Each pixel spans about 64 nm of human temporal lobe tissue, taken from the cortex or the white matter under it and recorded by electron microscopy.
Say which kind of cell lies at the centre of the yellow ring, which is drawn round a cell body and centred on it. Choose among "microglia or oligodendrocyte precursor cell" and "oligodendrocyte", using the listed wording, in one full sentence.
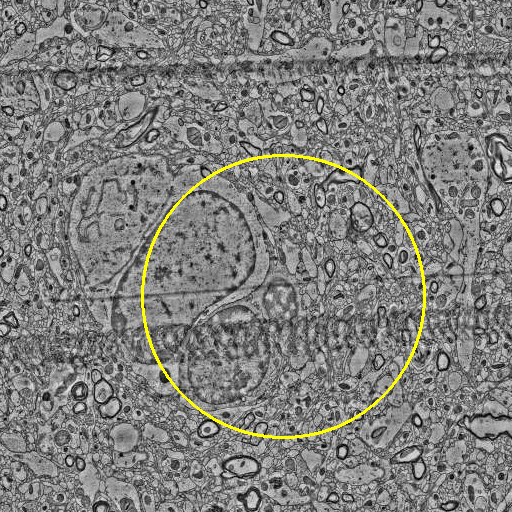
Going by the list, the cell at the yellow ring's centre is an oligodendrocyte.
